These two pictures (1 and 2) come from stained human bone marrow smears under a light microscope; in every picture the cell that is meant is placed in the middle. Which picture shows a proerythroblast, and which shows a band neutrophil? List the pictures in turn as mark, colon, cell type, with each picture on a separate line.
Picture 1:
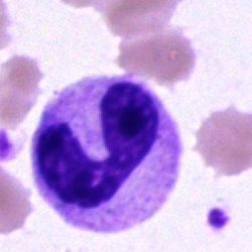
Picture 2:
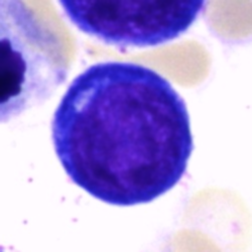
1: band neutrophil
2: proerythroblast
